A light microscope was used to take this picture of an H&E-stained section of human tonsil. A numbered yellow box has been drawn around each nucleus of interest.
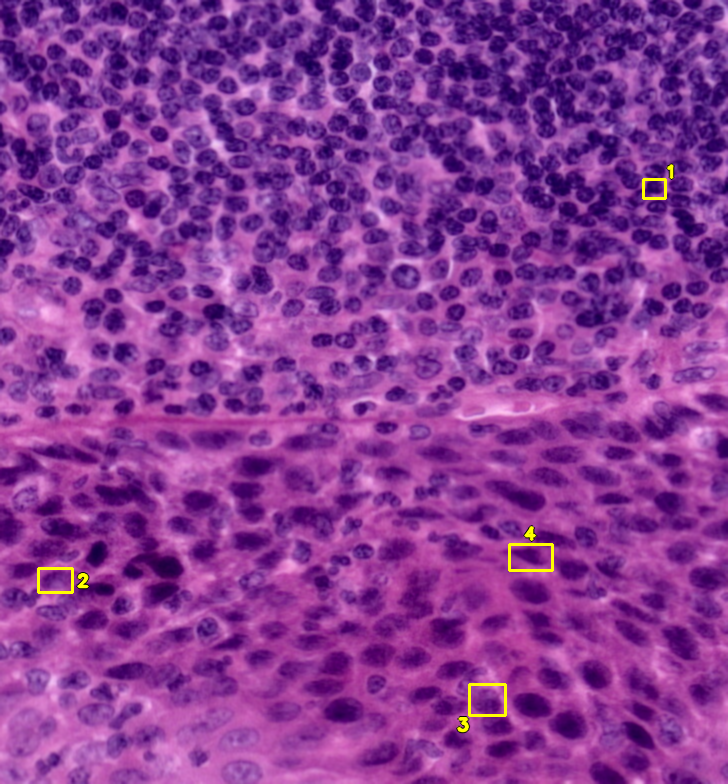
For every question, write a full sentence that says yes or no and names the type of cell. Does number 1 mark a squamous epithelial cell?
No, cell 1 is to be read as a small lymphocyte, not a squamous epithelial cell.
